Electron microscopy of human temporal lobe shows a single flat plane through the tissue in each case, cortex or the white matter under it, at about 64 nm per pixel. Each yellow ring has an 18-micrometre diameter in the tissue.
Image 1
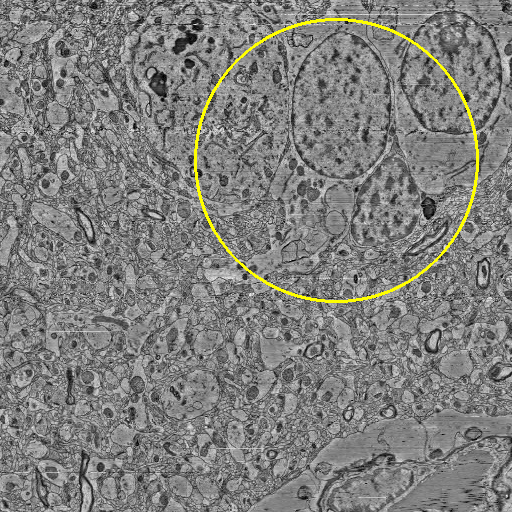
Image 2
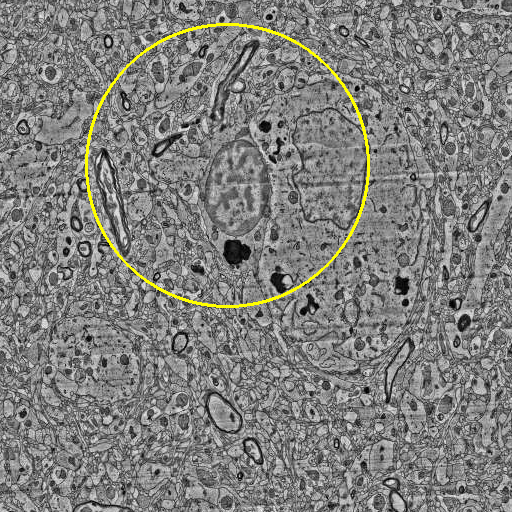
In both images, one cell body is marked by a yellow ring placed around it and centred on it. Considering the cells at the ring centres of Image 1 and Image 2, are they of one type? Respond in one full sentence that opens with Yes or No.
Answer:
No, two types apply to the ring-centred cells of Image 1 and Image 2.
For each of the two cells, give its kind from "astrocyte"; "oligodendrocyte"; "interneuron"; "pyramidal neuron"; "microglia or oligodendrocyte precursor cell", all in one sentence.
The first picture has an astrocyte in its ring, the second has an oligodendrocyte.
